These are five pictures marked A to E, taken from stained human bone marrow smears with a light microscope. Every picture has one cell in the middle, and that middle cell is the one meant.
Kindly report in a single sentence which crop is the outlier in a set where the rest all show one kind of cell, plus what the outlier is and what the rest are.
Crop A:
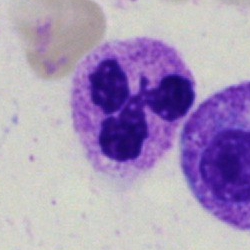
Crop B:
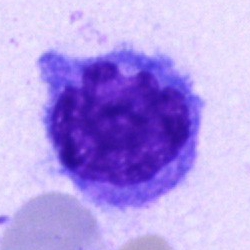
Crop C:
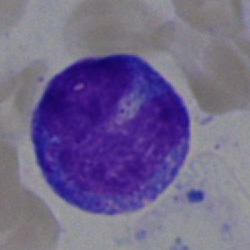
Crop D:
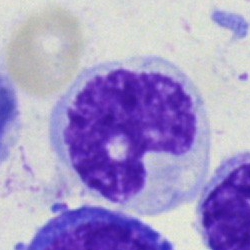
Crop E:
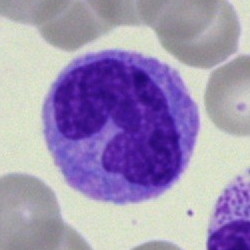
The remaining crops are all monocytes, so crop A, being a segmented neutrophil, is the exception.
